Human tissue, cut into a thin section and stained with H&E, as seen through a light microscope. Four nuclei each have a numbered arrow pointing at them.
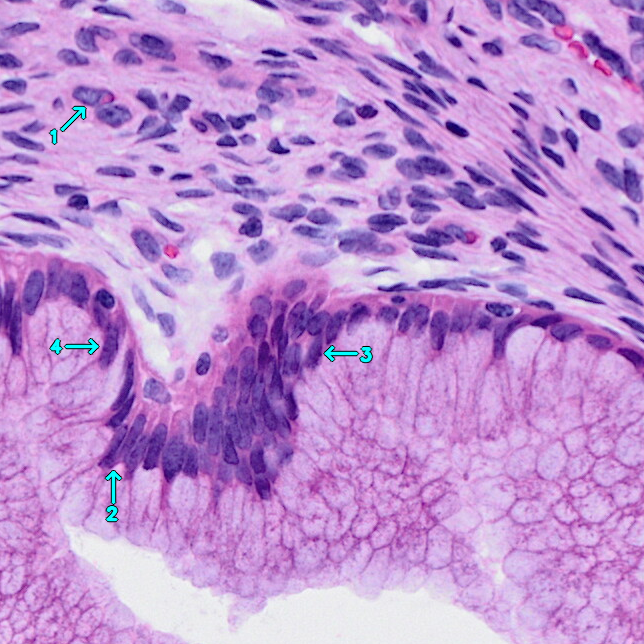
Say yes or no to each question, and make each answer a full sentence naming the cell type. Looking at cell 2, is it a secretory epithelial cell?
Yes, that one, number 2, is a secretory epithelial cell.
